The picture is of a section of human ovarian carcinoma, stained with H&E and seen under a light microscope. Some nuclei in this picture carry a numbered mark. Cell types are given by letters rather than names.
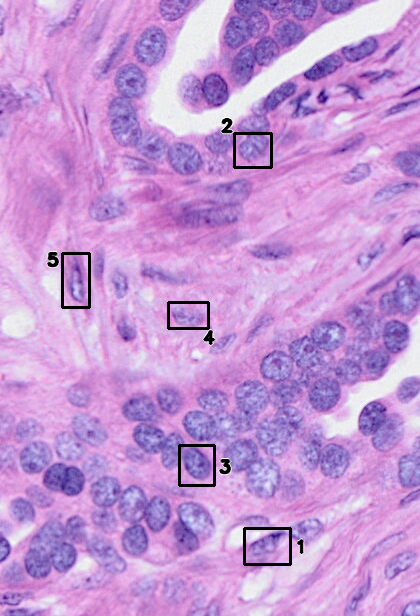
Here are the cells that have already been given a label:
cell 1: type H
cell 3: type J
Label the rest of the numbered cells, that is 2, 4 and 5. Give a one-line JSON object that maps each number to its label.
{"2": "type J", "4": "type H", "5": "type H"}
